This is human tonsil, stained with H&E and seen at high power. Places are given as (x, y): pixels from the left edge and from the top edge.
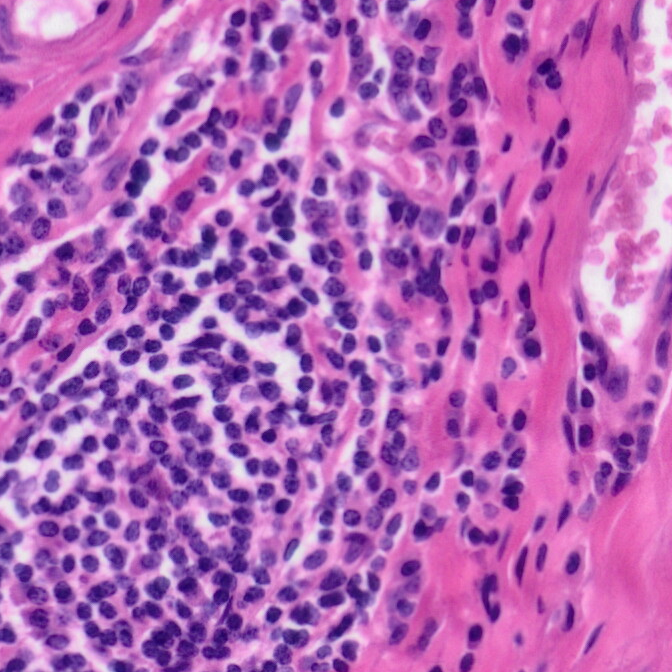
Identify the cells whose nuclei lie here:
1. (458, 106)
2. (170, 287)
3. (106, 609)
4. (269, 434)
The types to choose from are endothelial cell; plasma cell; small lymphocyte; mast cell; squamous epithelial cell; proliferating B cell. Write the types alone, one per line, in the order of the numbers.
plasma cell
small lymphocyte
small lymphocyte
small lymphocyte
